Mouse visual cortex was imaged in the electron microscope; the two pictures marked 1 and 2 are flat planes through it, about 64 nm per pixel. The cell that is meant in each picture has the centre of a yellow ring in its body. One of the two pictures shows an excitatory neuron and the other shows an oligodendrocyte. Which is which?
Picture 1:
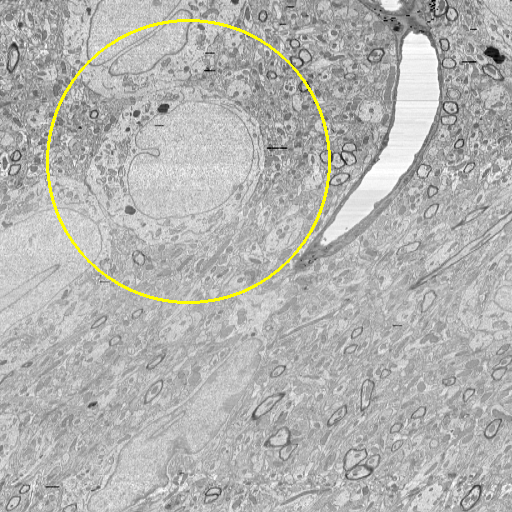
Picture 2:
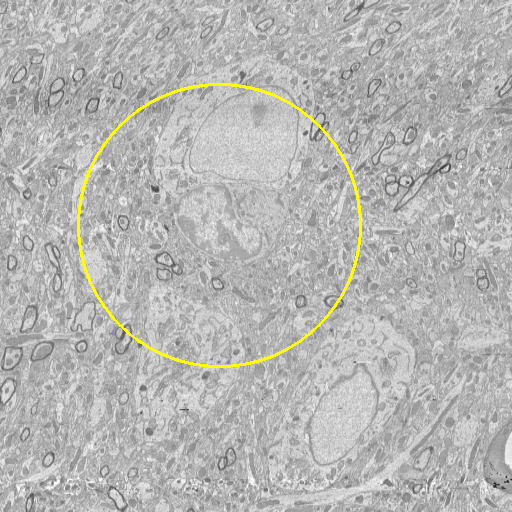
Picture 1 is of an excitatory neuron, and picture 2 is of an oligodendrocyte.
